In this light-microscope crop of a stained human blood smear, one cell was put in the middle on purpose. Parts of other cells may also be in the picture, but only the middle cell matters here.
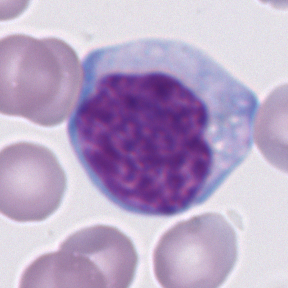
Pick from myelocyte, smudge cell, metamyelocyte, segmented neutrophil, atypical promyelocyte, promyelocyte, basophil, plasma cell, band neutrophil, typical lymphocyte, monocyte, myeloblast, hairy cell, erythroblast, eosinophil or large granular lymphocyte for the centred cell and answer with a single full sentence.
At the center of the crop sits a myeloblast.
